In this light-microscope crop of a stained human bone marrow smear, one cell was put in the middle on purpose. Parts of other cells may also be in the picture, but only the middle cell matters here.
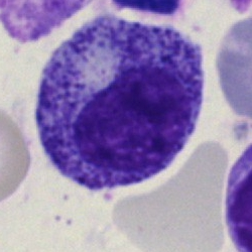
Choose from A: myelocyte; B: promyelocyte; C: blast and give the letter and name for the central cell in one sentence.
The correct option, B, names the middle cell as a promyelocyte.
